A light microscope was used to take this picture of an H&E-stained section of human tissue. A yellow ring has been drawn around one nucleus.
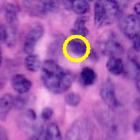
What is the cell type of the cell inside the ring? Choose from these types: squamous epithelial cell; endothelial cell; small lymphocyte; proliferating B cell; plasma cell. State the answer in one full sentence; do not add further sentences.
Cell type answer for this item: the cell inside the ring is a proliferating B cell.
